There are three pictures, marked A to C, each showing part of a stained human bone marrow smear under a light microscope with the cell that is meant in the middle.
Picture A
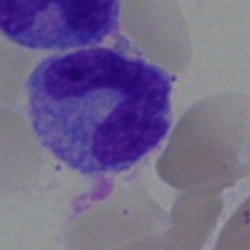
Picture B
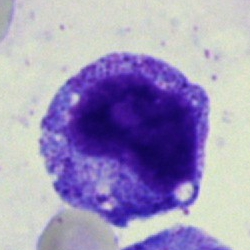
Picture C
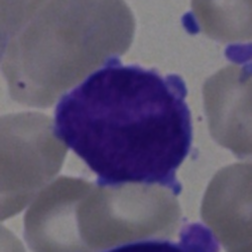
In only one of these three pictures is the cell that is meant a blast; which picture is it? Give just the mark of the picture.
C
